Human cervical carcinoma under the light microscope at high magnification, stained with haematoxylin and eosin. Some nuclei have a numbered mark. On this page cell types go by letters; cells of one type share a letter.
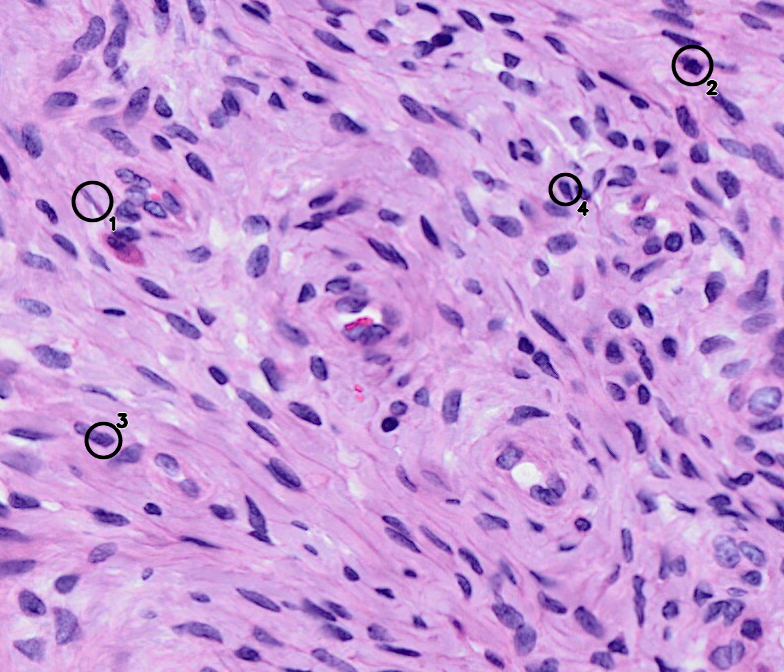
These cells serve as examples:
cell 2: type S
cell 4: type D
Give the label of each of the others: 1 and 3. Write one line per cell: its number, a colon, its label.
1: type D
3: type D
